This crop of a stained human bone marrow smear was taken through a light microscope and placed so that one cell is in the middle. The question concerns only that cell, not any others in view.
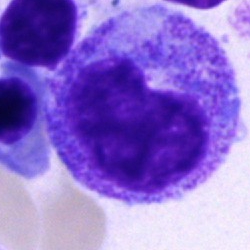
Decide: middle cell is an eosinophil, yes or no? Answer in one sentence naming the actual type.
No, the central cell is not an eosinophil, being instead a promyelocyte.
